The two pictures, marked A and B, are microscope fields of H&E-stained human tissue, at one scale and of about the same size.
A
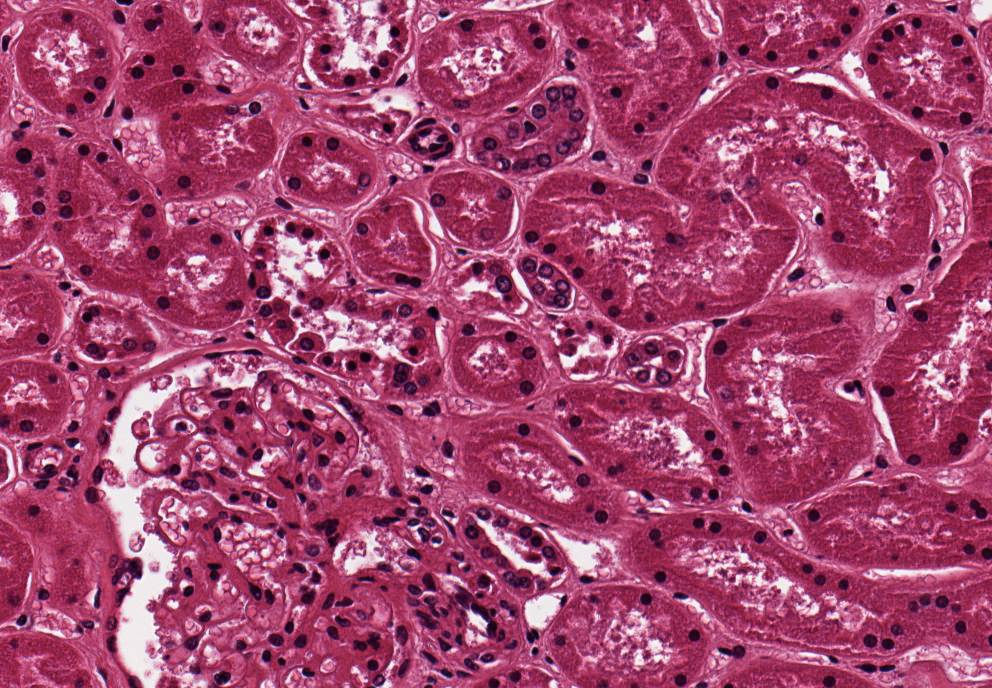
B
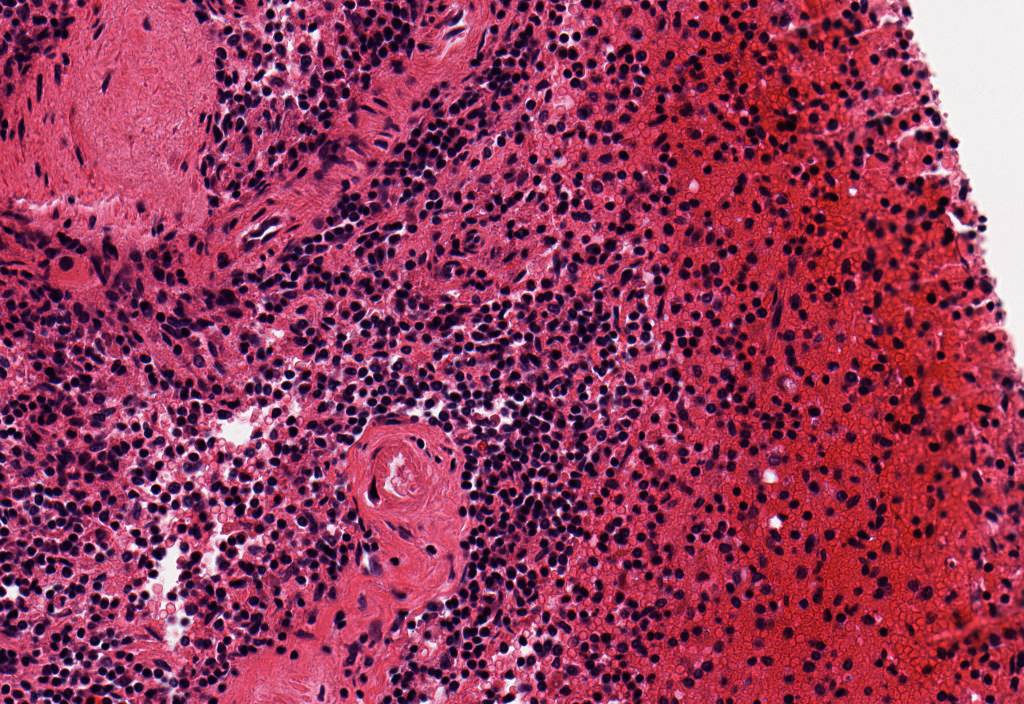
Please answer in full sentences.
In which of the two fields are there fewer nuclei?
The smaller number of nuclei is in field A.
